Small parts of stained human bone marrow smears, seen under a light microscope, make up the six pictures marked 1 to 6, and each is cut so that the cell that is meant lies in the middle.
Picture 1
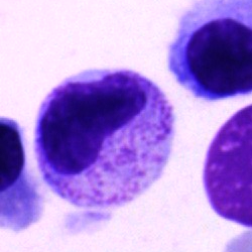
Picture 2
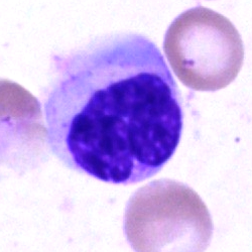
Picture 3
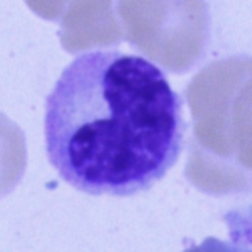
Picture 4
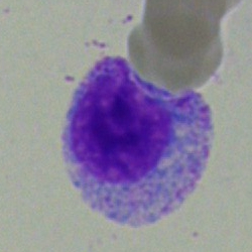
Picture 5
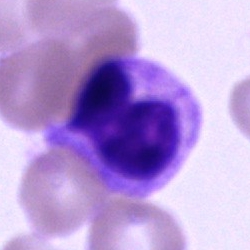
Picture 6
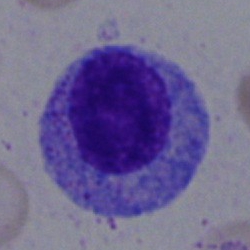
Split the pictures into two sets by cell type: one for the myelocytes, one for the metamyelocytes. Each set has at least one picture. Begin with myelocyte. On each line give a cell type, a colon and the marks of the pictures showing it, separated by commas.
myelocyte: 4, 6
metamyelocyte: 1, 2, 3, 5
